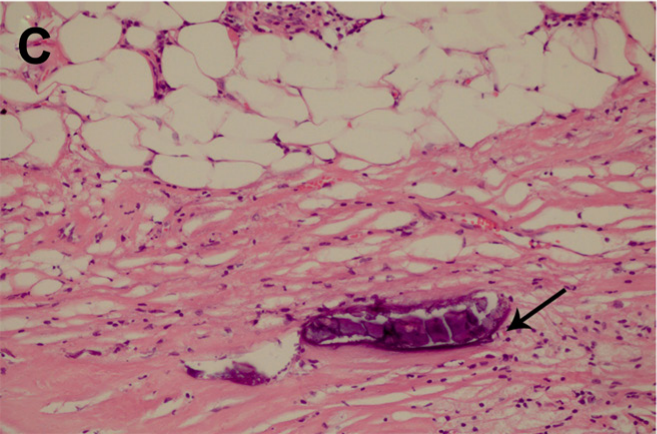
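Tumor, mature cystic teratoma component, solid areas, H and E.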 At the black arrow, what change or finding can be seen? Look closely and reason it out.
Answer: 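The arrow points to an elongated, deep purple, cracked deposit. It lies within pink fibrous stroma. The answer: calcifications.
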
